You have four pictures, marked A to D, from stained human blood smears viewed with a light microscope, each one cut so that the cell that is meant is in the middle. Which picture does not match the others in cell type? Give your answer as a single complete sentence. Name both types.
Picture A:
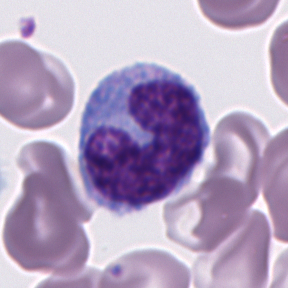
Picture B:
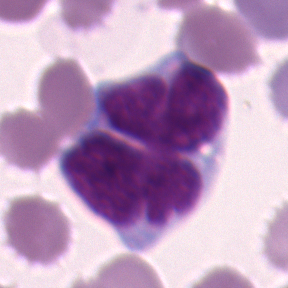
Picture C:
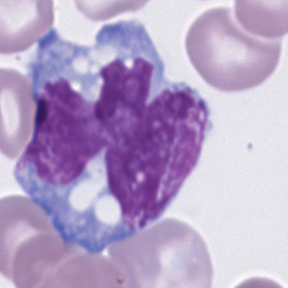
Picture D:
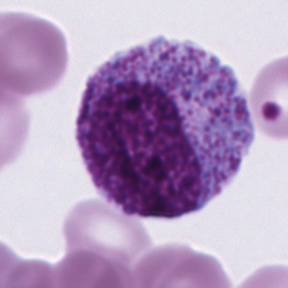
Picture D differs, because its cell is a promyelocyte and the rest are monocytes.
